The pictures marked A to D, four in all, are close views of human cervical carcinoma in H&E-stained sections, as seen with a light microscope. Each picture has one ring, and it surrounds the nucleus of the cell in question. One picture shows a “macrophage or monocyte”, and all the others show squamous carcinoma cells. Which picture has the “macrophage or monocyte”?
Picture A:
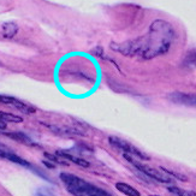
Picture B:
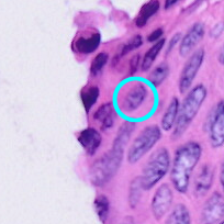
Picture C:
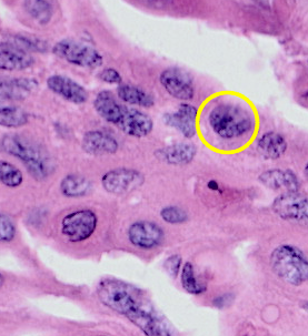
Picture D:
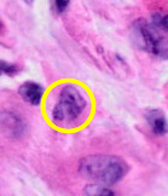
D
